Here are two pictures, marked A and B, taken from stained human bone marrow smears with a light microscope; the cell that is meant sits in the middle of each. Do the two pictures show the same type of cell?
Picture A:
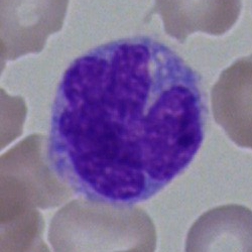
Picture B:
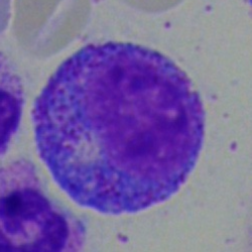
no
